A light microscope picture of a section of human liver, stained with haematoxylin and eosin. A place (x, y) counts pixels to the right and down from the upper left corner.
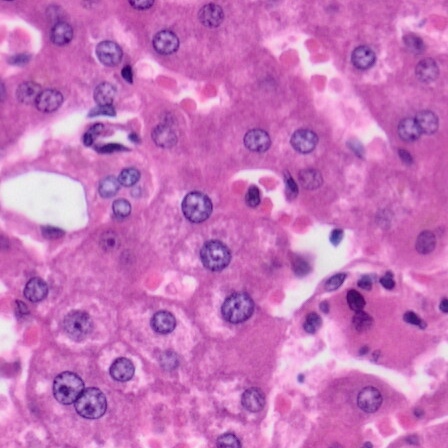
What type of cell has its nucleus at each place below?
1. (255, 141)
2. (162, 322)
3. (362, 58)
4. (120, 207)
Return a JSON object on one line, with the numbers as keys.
{"1": "hepatocyte", "2": "hepatocyte", "3": "hepatocyte", "4": "cholangiocyte"}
